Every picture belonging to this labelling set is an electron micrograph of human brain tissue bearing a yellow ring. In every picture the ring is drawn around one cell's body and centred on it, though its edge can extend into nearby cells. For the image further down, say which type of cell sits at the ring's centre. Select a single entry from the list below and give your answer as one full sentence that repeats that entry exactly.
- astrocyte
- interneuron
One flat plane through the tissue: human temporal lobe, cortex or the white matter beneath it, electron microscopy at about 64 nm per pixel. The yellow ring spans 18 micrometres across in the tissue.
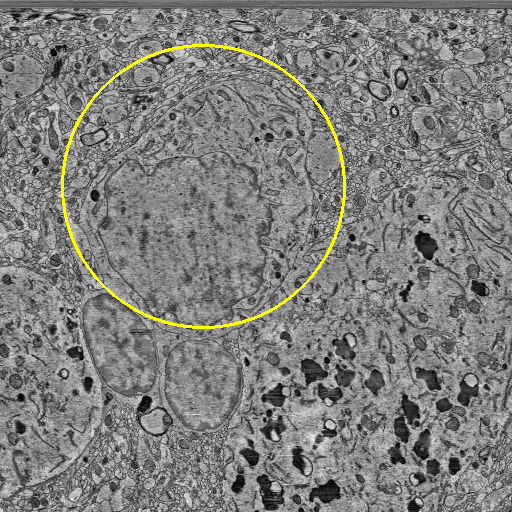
In the picture, an interneuron is the cell at the centre of the yellow ring.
